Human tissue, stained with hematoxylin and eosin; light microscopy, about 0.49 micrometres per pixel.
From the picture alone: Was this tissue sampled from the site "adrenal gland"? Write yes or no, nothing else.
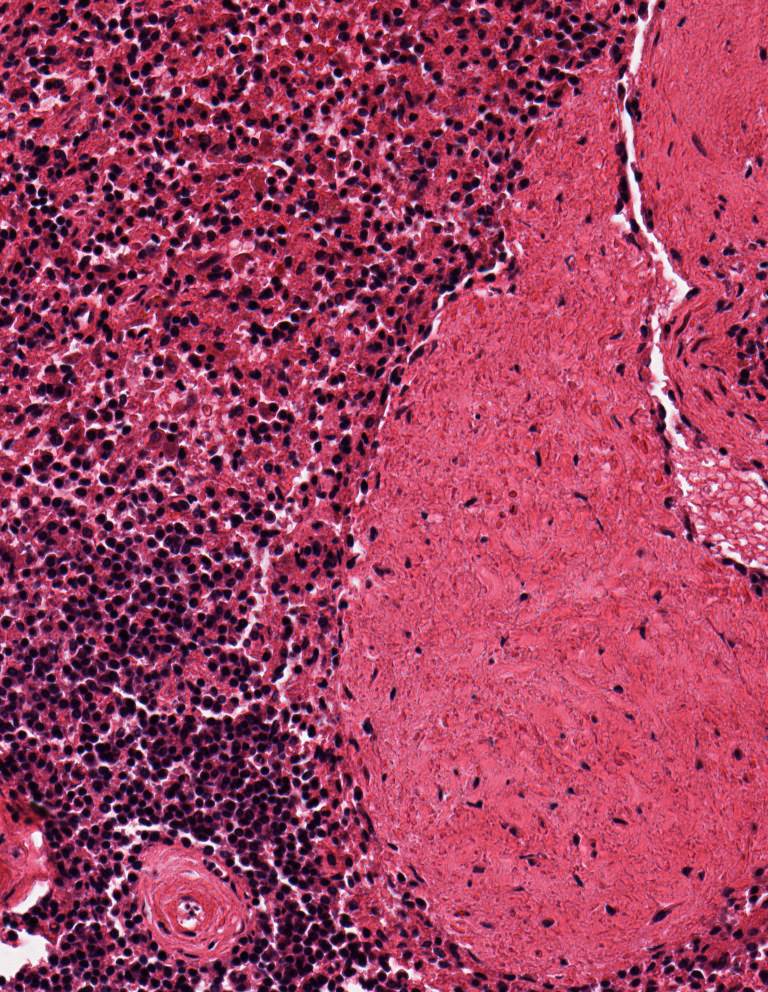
no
